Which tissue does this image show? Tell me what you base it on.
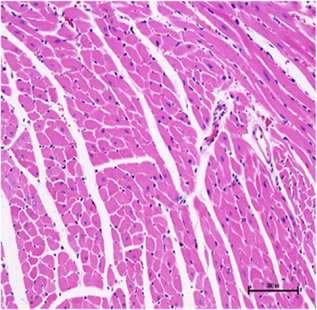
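Fibres are separated by thin pale clefts.
Conclusion: myocardial tissues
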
